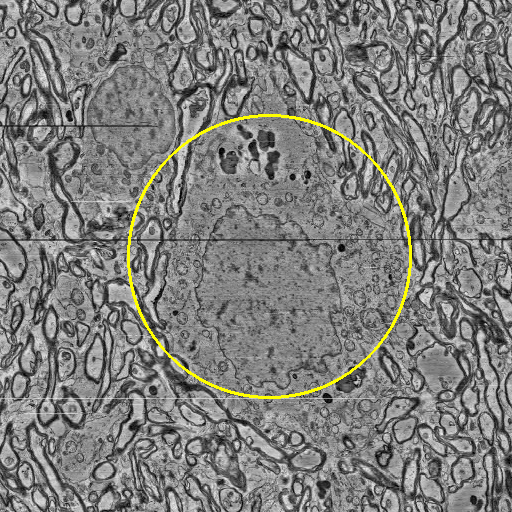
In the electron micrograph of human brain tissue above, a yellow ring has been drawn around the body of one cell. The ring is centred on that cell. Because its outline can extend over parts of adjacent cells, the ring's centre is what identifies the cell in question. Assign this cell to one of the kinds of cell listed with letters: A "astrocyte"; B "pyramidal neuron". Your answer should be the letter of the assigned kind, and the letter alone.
B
